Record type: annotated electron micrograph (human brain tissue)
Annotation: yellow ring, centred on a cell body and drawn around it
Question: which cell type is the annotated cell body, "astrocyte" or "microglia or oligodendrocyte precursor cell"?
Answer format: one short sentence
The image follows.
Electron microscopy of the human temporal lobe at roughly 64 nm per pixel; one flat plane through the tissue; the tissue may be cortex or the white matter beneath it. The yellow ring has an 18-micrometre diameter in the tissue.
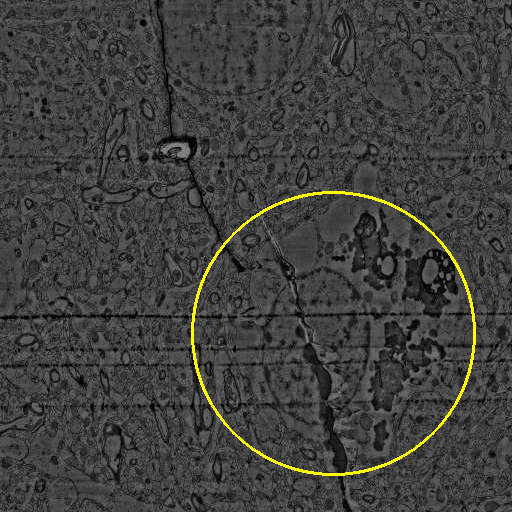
The annotated cell body is that of an astrocyte.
